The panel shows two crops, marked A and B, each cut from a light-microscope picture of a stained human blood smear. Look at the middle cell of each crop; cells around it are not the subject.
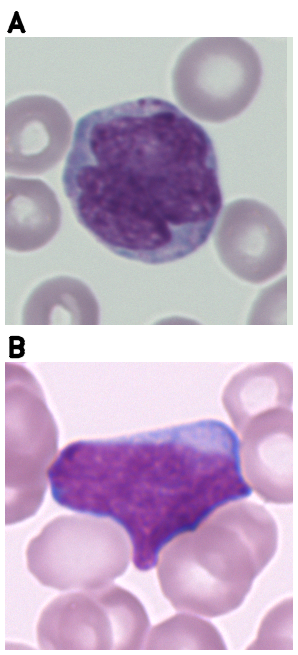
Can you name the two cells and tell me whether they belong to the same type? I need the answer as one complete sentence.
No, crop A is the one with an atypical promyelocyte; crop B has a myeloblast.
